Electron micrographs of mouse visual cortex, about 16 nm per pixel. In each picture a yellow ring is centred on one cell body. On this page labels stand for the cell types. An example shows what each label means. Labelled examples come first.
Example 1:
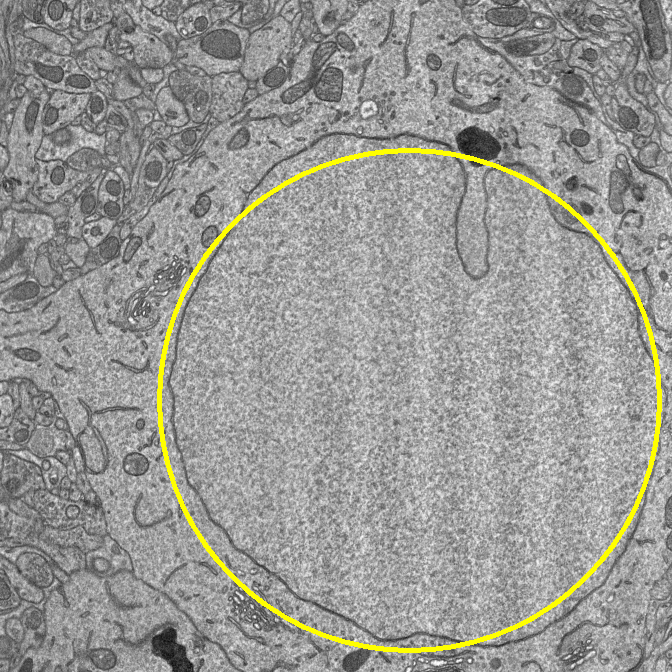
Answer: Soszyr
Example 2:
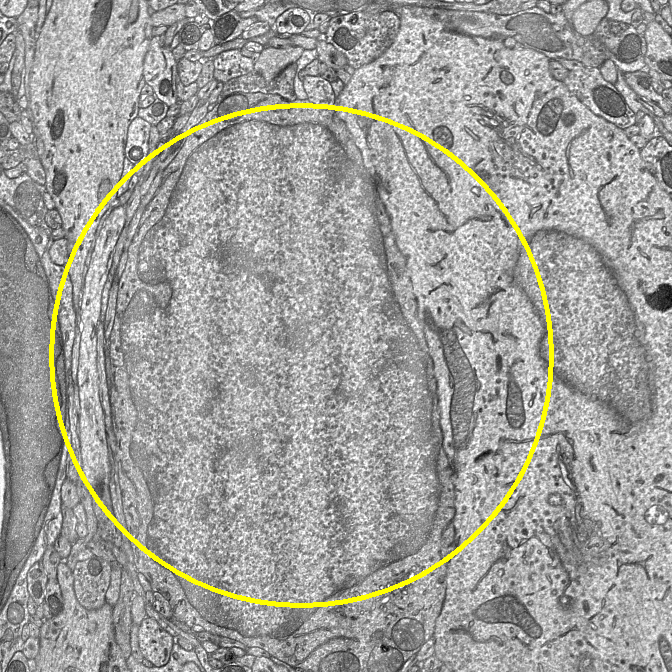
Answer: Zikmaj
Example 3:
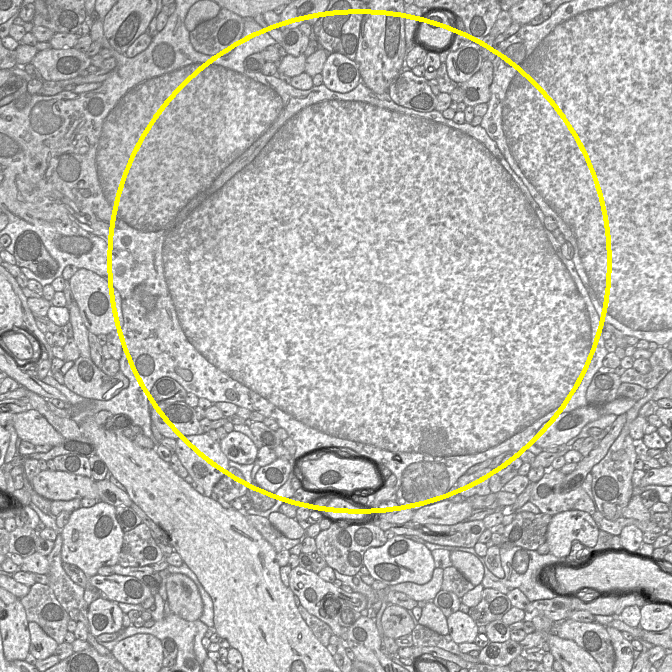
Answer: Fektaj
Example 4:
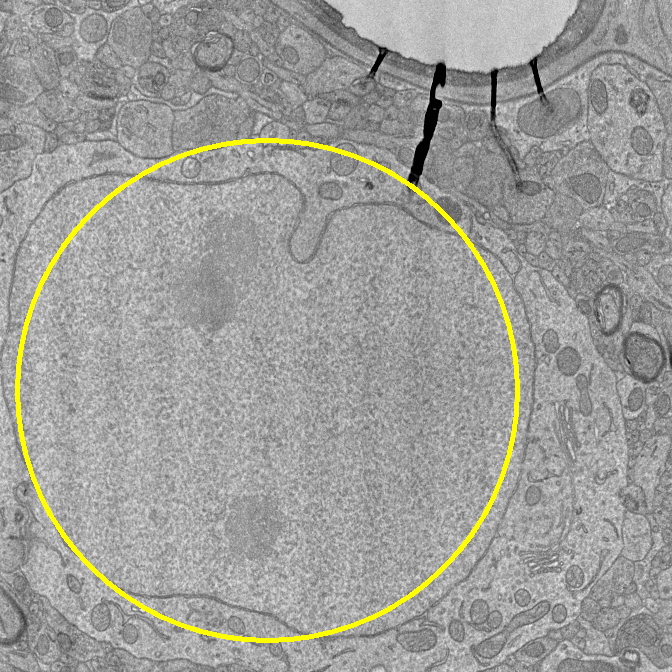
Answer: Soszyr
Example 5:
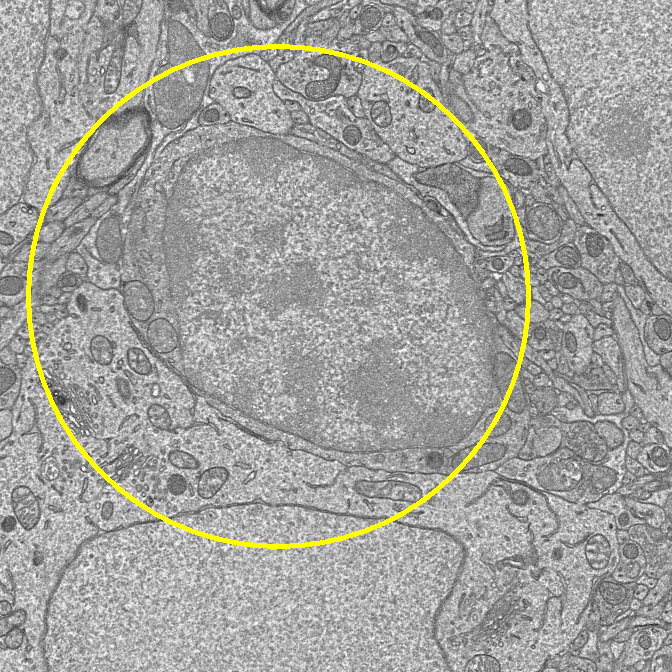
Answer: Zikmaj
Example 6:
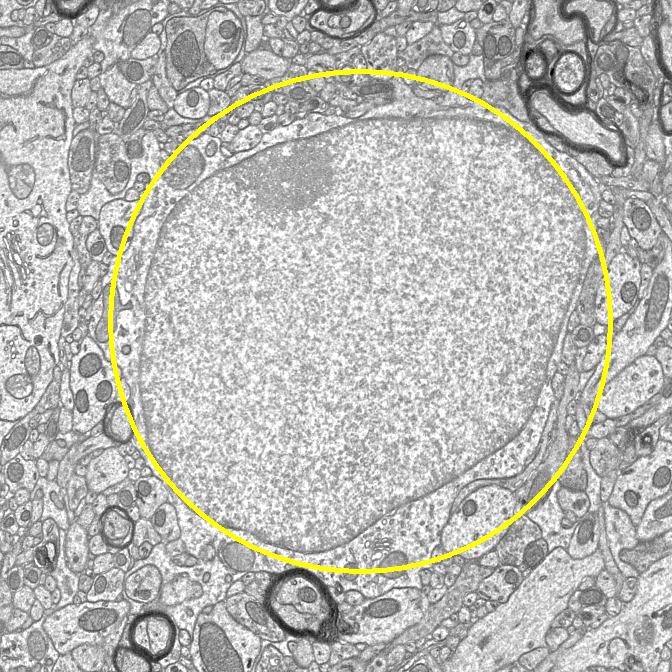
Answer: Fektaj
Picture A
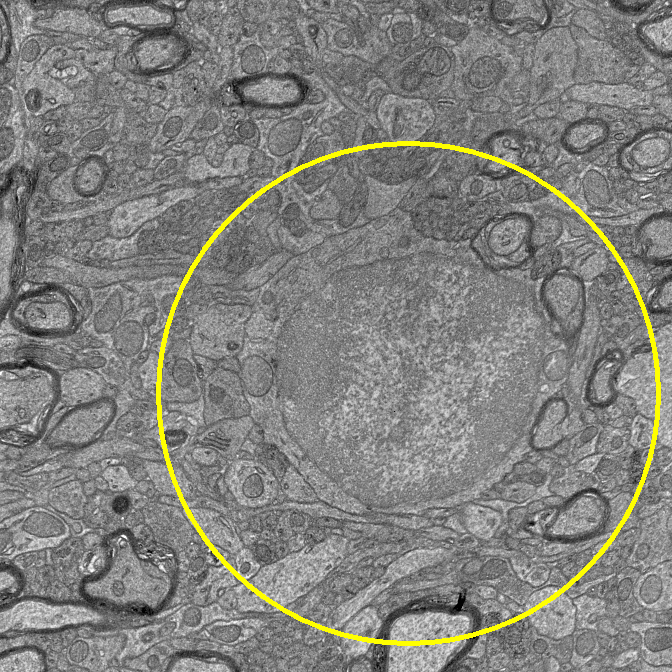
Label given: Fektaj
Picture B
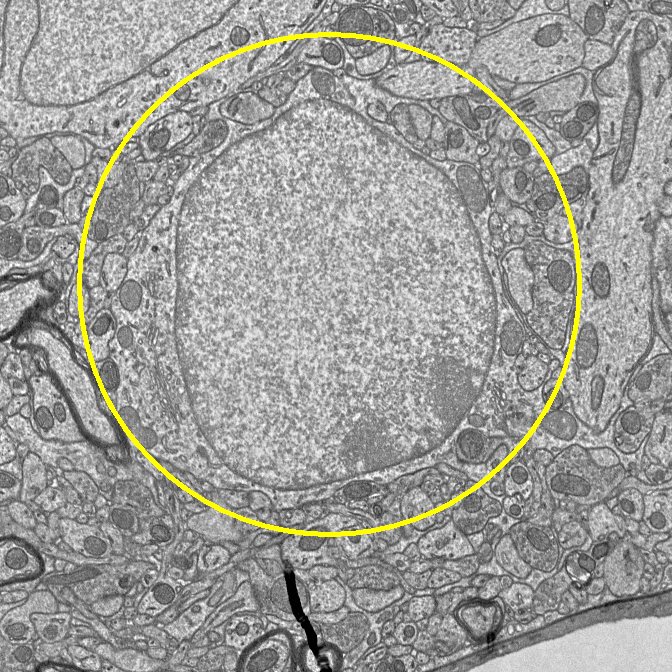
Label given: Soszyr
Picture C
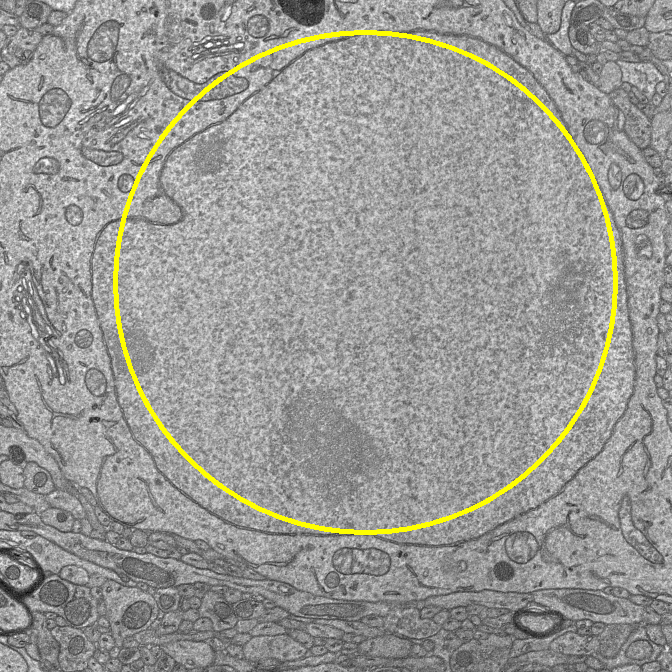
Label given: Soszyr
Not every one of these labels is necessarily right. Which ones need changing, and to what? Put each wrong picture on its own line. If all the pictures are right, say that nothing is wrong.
A should be Zikmaj, not Fektaj
B should be Fektaj, not Soszyr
